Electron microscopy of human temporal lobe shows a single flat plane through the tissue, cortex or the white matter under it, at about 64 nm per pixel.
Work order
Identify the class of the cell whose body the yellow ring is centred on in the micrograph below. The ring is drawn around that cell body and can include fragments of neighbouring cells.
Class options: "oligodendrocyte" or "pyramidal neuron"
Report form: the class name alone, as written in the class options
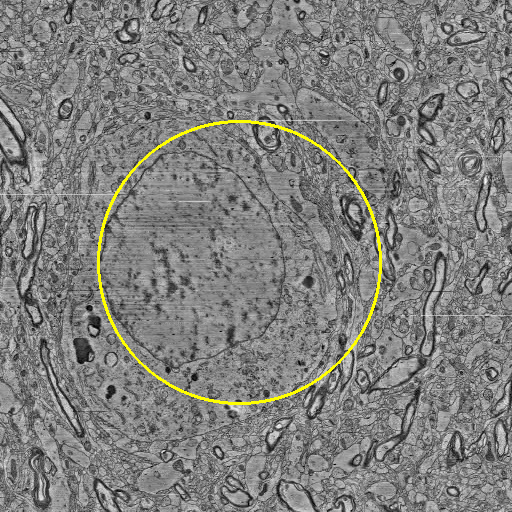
pyramidal neuron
